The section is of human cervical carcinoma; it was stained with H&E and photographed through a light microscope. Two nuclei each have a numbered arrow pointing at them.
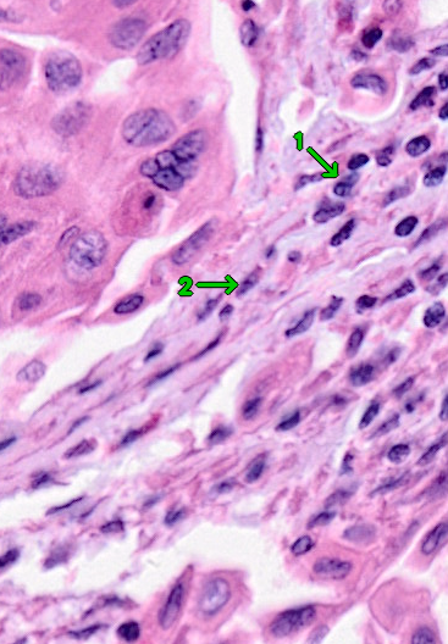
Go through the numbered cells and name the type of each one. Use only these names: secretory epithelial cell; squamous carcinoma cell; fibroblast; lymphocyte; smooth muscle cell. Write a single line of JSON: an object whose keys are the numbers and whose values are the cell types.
{"1": "lymphocyte", "2": "fibroblast"}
